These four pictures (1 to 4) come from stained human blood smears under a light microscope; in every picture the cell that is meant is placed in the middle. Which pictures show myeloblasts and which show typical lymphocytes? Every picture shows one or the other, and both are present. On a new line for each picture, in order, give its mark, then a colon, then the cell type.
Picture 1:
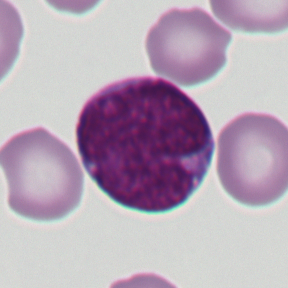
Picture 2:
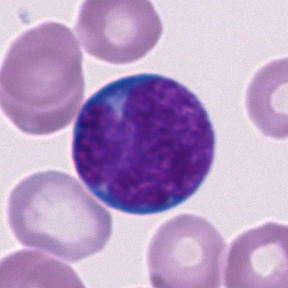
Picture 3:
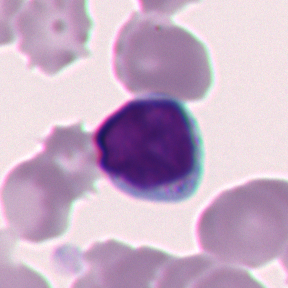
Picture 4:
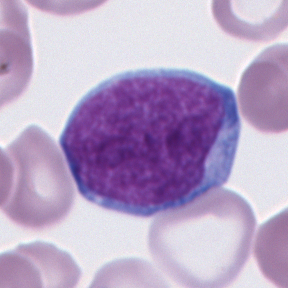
1: myeloblast
2: myeloblast
3: typical lymphocyte
4: myeloblast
